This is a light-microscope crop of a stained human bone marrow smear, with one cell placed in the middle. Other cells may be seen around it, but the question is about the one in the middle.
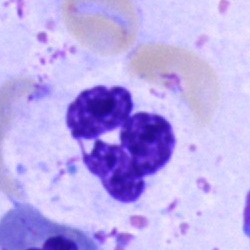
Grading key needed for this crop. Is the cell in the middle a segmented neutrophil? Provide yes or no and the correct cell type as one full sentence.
Yes, the cell positioned at the centre of the crop is a segmented neutrophil.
